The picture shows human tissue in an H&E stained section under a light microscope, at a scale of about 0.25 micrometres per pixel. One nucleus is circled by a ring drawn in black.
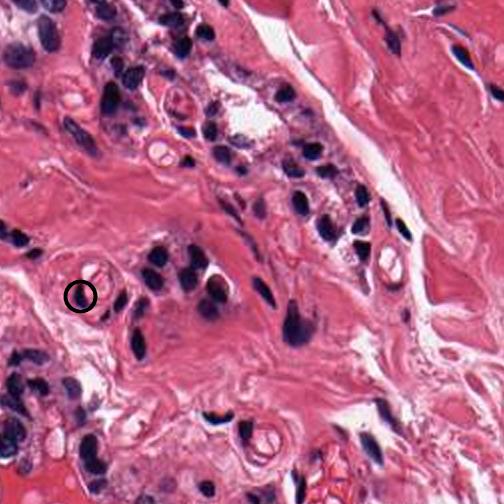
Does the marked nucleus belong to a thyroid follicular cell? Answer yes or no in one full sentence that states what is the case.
No, not to a thyroid follicular cell does the marked nucleus belong, but to a supporting cell.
